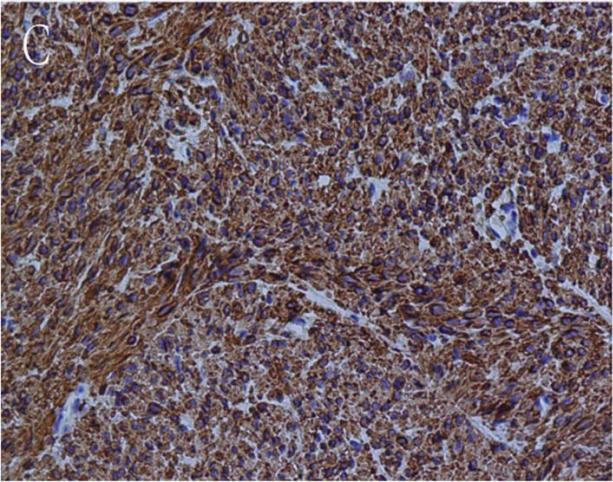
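Spindle tumor cells packed in dense fascicles show strong, diffuse brown staining of their cytoplasm. The blue nuclei are elongated to oval and stand out against the brown cytoplasm, while thin strands of unstained stroma and small vessels run between the bundles.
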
